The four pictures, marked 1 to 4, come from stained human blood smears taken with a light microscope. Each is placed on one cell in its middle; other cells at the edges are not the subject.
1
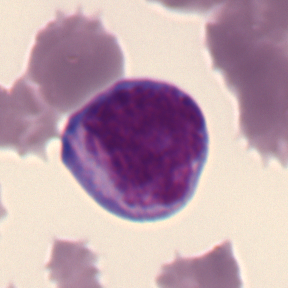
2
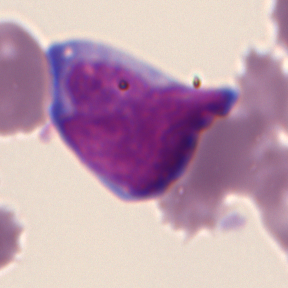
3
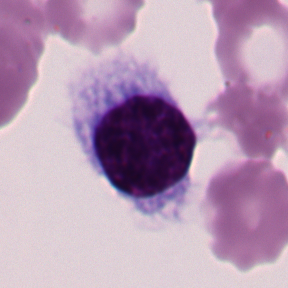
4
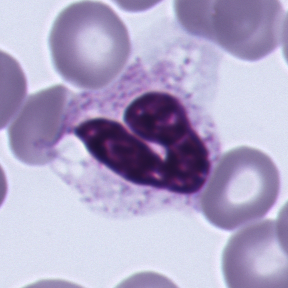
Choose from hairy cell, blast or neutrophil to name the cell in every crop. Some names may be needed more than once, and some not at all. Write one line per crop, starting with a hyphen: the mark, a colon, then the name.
- 1: blast
- 2: blast
- 3: hairy cell
- 4: neutrophil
